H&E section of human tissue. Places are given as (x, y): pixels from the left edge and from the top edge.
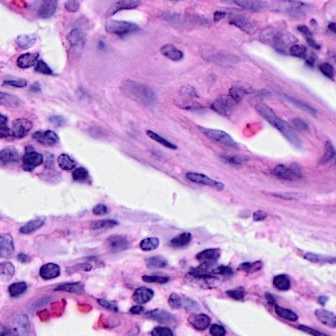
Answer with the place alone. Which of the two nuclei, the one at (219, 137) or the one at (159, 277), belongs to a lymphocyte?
(159, 277)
